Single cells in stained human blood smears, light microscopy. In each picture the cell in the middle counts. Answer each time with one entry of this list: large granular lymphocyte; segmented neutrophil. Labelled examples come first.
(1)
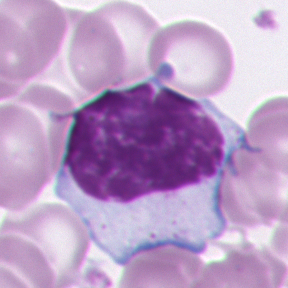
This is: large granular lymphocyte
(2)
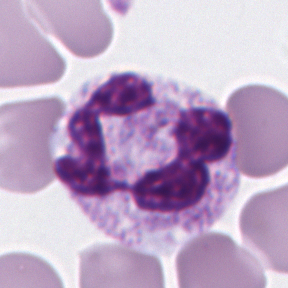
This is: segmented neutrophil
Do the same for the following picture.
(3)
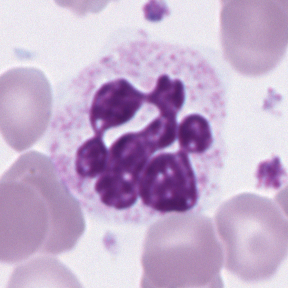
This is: segmented neutrophil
